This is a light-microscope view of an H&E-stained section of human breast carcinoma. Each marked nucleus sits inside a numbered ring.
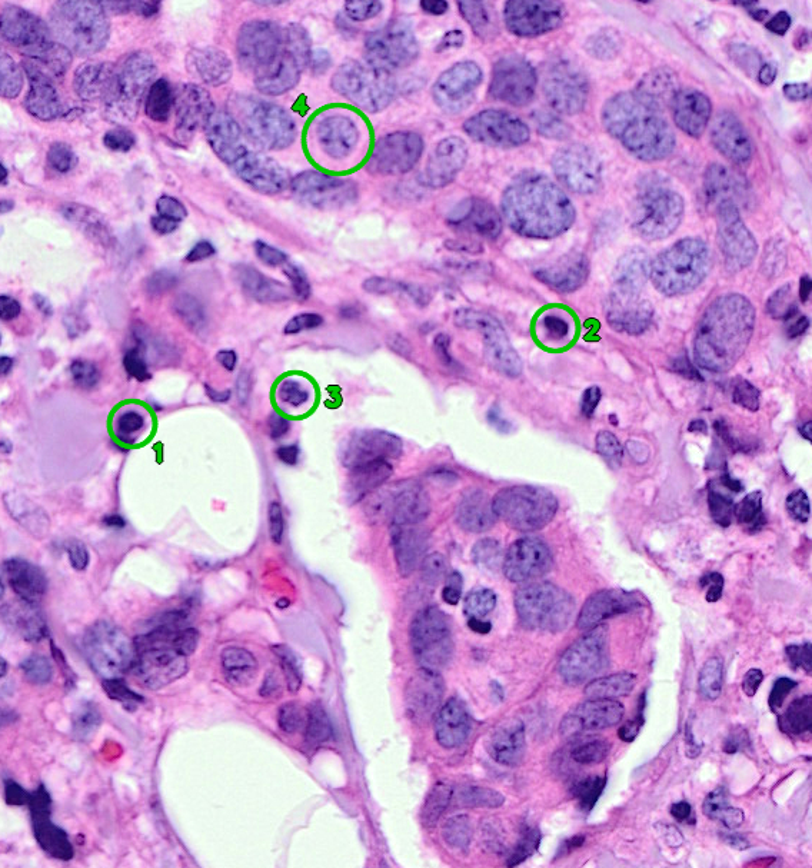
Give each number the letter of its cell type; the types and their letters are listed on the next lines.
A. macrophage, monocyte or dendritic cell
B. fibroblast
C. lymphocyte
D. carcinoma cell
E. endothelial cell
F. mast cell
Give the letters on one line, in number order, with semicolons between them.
C; C; C; D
